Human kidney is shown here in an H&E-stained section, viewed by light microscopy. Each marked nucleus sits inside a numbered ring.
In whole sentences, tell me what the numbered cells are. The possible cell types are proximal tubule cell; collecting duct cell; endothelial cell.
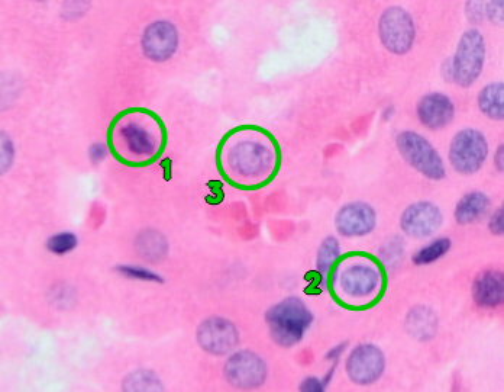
Cells 1 and 3 are proximal tubule cells. Cell 2 is a collecting duct cell.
